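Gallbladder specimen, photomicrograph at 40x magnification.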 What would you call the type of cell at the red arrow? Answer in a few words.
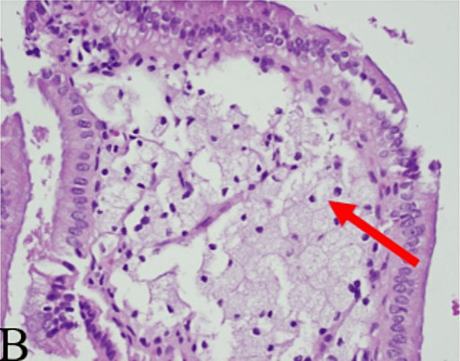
Foamy macrophage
